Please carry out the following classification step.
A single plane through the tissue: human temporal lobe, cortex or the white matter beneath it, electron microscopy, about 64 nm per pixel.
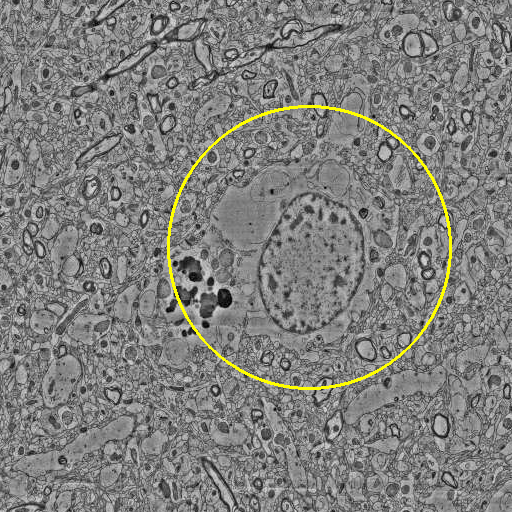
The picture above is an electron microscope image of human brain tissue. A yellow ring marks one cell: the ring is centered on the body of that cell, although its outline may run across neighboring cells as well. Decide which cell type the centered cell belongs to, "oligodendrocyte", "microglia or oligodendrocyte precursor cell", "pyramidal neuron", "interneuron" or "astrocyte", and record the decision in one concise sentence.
The cell centered in the yellow ring is an astrocyte.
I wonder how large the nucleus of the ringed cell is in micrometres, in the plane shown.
The nucleus is approximately 9 micrometers long by 7 micrometers wide in this plane.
